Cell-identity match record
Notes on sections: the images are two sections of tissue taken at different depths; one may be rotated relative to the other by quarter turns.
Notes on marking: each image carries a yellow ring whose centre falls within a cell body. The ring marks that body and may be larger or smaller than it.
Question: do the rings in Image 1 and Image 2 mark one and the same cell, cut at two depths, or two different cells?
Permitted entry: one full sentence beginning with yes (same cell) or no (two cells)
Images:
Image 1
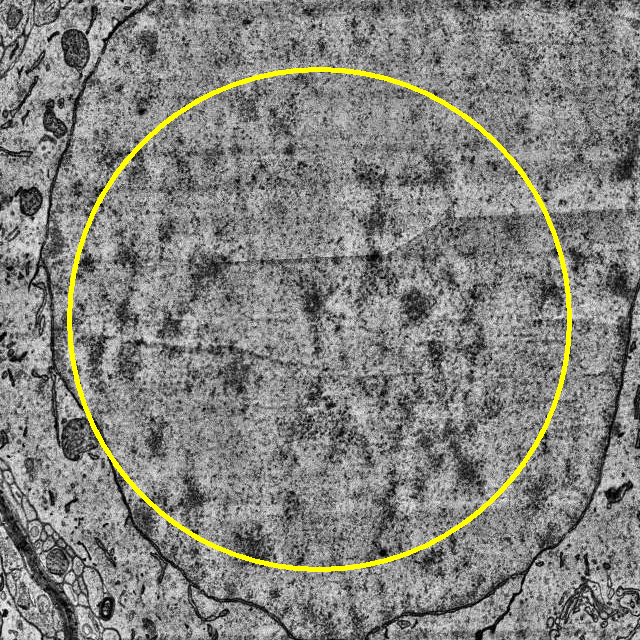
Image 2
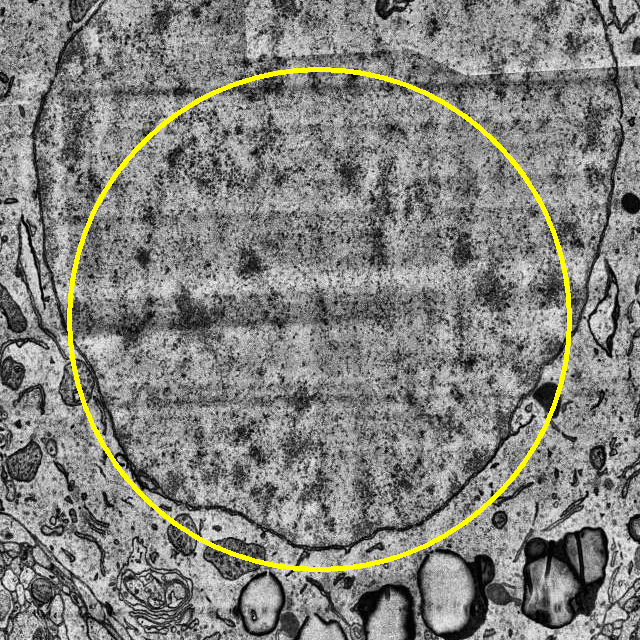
Yes, only one cell is involved, and both rings mark it.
